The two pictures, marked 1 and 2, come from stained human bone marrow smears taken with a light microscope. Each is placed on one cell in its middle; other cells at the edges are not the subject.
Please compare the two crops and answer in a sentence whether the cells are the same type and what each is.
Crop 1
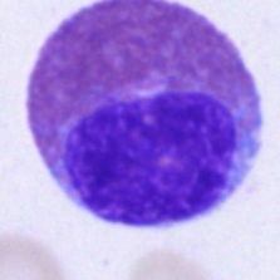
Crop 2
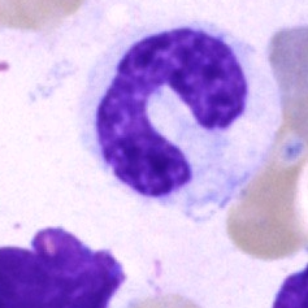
No: an eosinophil sits in crop 1, and a band neutrophil sits in crop 2.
